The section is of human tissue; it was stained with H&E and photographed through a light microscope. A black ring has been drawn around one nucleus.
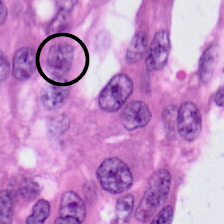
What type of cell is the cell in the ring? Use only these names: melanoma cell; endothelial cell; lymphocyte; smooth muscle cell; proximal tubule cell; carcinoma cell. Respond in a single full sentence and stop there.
In the context of this tissue, the cell in the ring is a melanoma cell.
